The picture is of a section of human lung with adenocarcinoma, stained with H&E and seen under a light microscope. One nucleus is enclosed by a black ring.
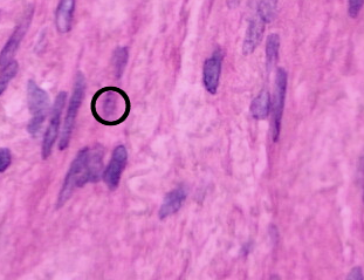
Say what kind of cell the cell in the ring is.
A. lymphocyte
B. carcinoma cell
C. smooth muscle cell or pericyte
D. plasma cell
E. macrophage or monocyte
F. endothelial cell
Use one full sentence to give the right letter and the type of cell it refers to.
In this item, the cell in the ring is a smooth muscle cell or pericyte, and option C is right.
